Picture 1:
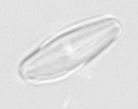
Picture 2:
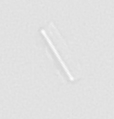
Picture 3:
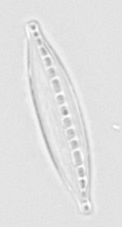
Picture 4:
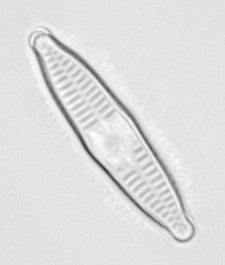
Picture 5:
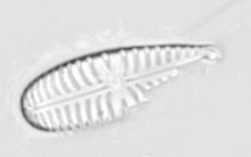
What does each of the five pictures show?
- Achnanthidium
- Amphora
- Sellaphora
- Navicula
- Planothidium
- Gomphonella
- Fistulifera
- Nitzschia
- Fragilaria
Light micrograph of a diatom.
1. Achnanthidium
2. Fistulifera
3. Nitzschia
4. Fragilaria
5. Gomphonella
